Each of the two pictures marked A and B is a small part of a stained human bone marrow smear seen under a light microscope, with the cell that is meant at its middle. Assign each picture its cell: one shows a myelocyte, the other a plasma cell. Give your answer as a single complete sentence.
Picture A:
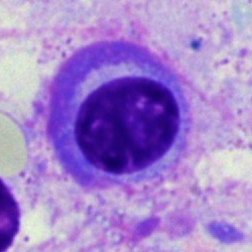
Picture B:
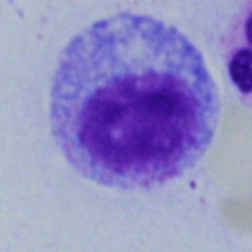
In picture A the cell is a plasma cell; in picture B, a myelocyte.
